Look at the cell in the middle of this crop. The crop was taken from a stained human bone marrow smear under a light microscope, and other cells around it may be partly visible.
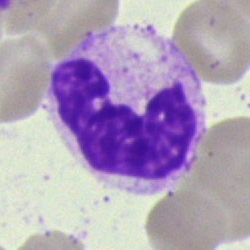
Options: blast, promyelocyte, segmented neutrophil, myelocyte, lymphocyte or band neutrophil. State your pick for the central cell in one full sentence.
Seen at the centre of the crop is a segmented neutrophil.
